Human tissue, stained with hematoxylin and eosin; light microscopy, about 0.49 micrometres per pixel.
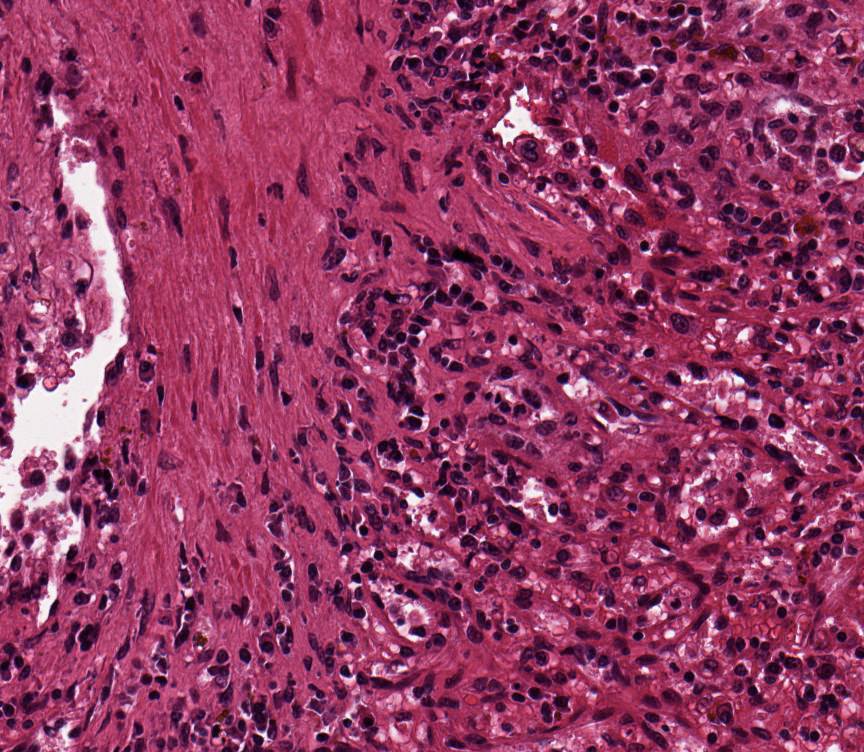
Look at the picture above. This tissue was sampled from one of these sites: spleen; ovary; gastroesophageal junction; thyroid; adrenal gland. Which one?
spleen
